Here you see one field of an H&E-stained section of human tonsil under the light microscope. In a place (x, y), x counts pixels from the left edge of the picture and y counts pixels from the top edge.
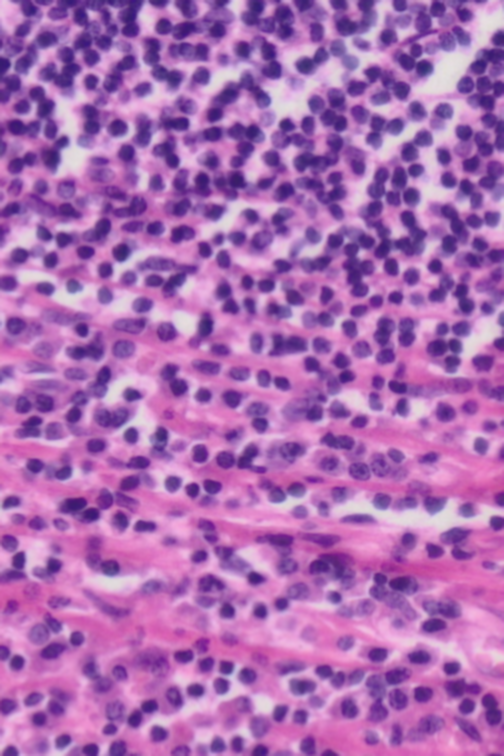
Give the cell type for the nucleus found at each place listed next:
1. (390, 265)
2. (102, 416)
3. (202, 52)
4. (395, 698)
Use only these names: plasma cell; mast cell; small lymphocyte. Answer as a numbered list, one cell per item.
1. small lymphocyte
2. plasma cell
3. small lymphocyte
4. plasma cell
